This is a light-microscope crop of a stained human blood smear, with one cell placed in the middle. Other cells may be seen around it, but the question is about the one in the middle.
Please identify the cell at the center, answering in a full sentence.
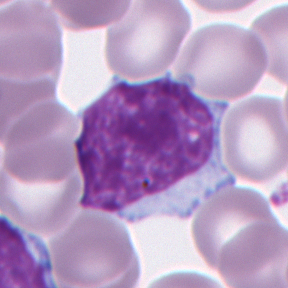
As for the central cell, it is a typical lymphocyte.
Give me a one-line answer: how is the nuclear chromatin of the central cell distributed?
The chromatin is fine throughout, without coarse clumps.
